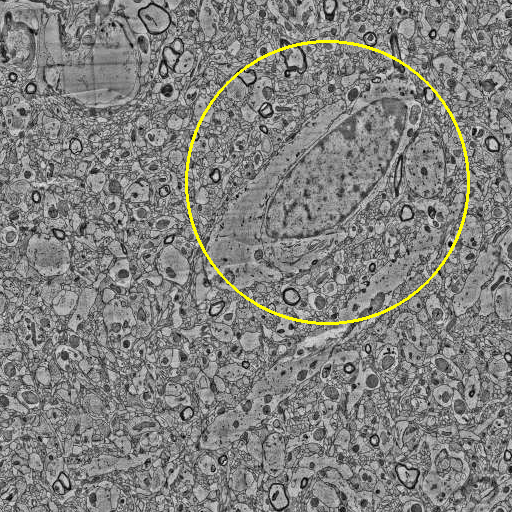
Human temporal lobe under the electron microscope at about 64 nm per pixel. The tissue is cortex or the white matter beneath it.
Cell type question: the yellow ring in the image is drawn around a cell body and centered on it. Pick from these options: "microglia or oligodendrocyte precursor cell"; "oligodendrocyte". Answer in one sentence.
The ringed cell at the center is a microglial cell or oligodendrocyte precursor cell.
